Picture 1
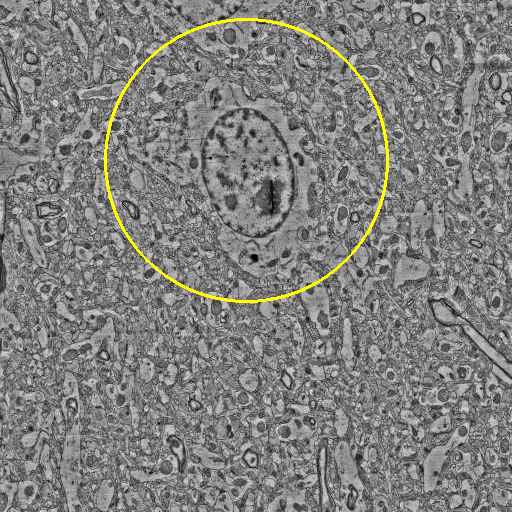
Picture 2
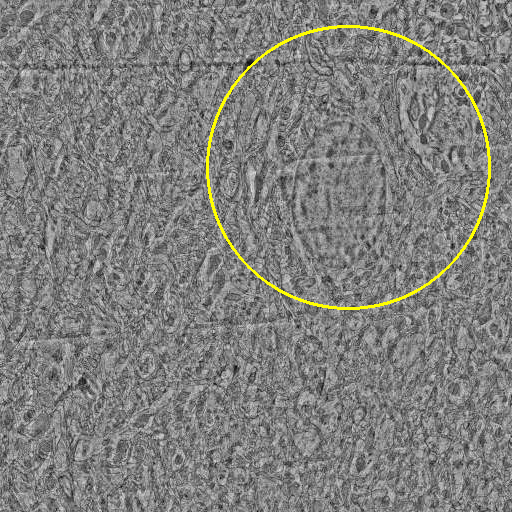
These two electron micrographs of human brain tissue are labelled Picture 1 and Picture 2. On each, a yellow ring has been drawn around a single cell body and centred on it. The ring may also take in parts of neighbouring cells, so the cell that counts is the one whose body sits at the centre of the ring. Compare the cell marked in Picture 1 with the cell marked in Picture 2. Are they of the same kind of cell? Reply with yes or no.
yes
